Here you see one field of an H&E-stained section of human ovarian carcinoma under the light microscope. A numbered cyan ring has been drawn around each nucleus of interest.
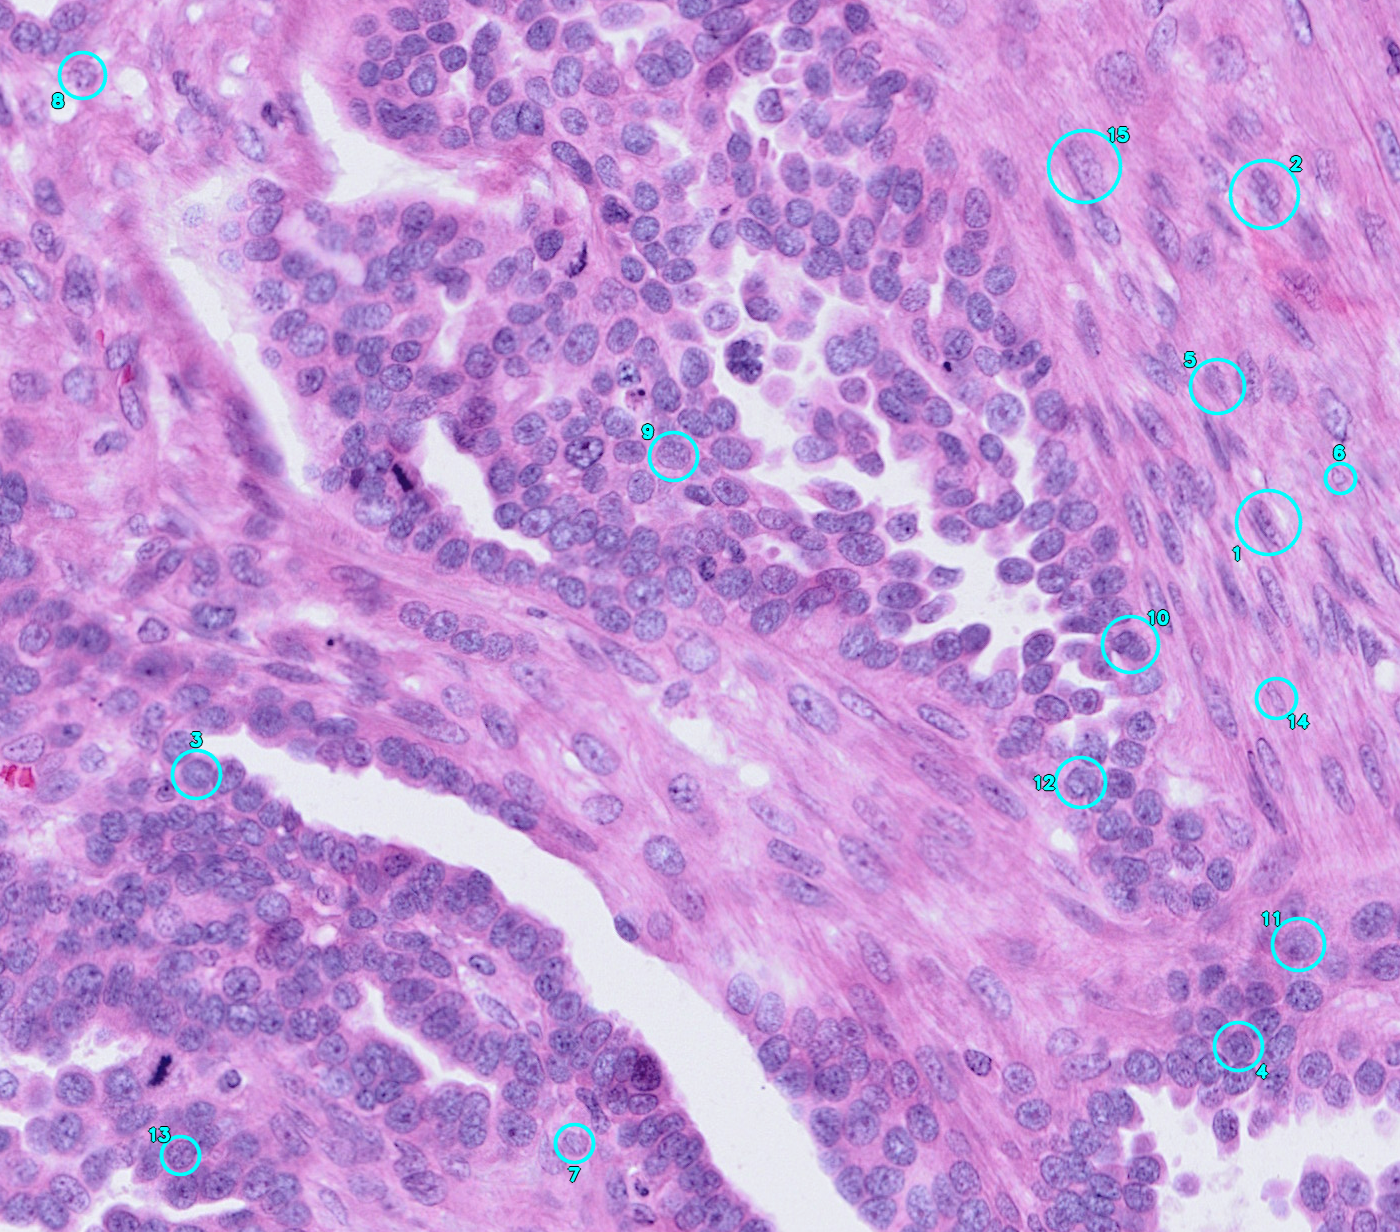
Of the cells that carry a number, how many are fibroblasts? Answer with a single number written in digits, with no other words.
8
